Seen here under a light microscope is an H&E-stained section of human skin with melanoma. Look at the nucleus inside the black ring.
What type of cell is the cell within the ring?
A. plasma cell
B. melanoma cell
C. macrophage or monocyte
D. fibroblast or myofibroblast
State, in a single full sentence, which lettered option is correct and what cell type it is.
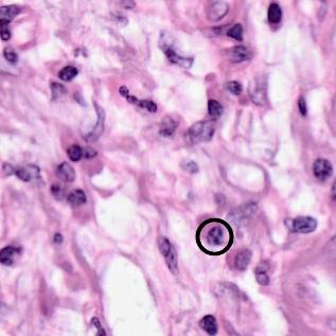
The correct choice is option A; the cell within the ring is a plasma cell.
